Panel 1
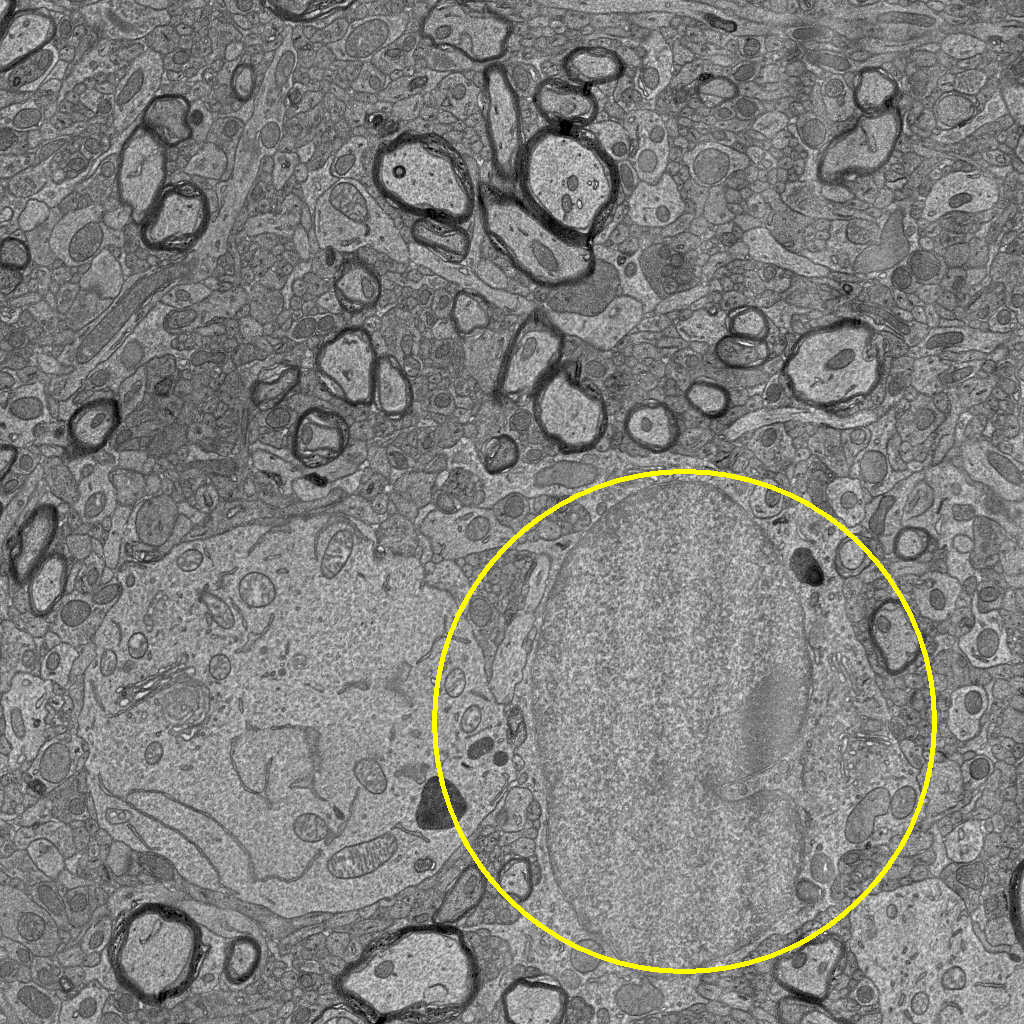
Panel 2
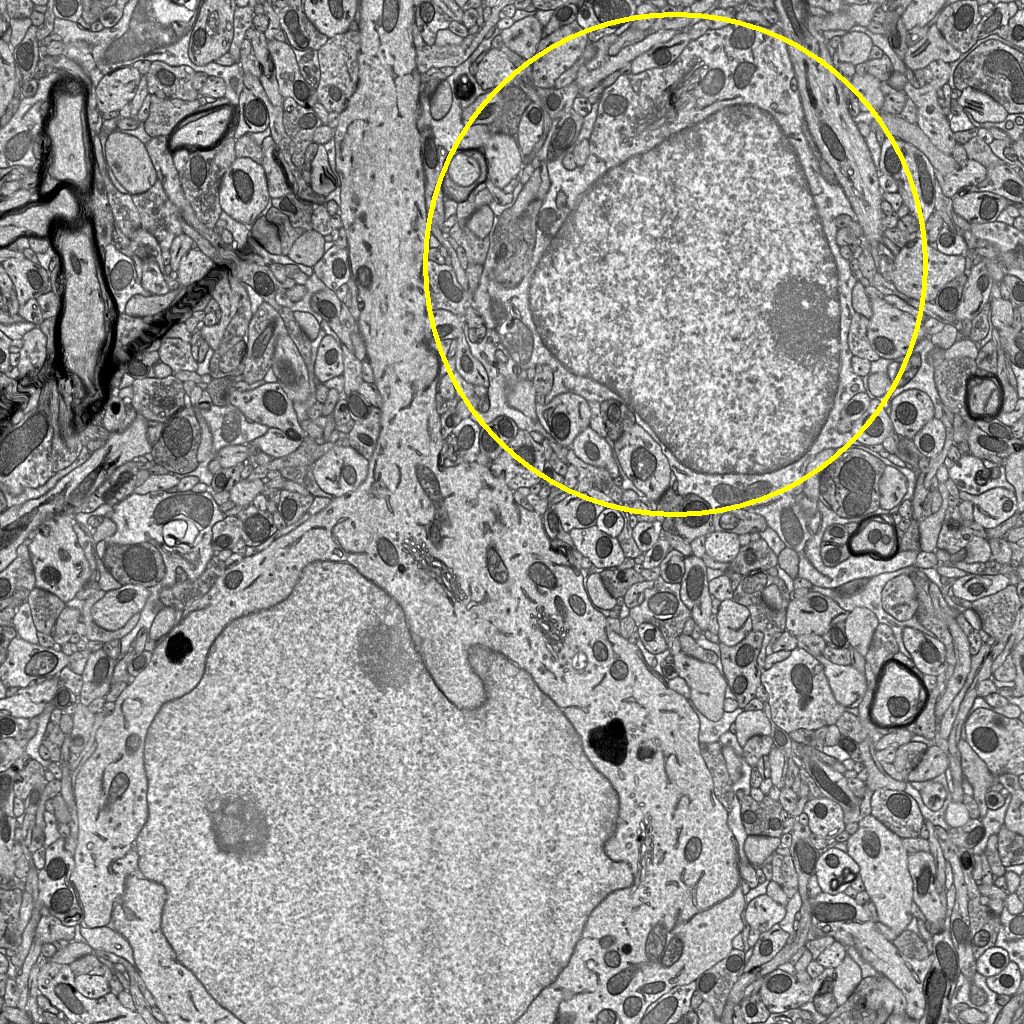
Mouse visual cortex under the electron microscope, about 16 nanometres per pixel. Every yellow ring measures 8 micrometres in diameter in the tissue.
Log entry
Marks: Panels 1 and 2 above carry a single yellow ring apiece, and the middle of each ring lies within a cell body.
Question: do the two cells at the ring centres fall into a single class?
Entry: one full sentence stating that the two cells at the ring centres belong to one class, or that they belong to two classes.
The two cells at the ring centres in Panels 1 and 2 belong to one class.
